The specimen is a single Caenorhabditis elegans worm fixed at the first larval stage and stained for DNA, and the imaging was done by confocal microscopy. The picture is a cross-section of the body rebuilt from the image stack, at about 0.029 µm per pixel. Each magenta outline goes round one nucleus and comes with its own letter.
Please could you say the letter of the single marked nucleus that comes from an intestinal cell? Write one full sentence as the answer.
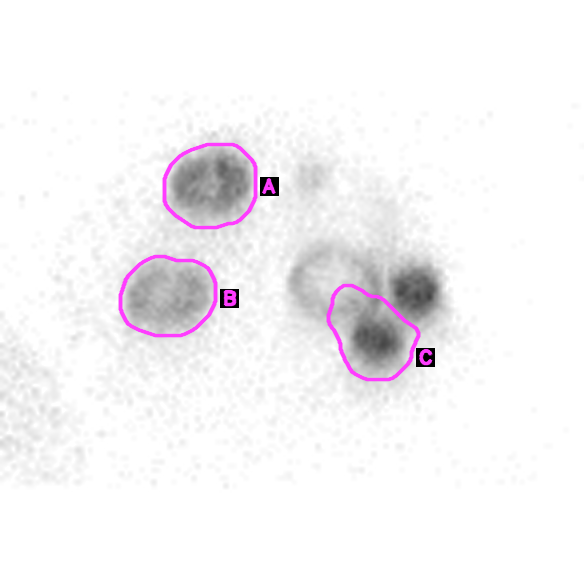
B is the one that belongs to an intestinal cell.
